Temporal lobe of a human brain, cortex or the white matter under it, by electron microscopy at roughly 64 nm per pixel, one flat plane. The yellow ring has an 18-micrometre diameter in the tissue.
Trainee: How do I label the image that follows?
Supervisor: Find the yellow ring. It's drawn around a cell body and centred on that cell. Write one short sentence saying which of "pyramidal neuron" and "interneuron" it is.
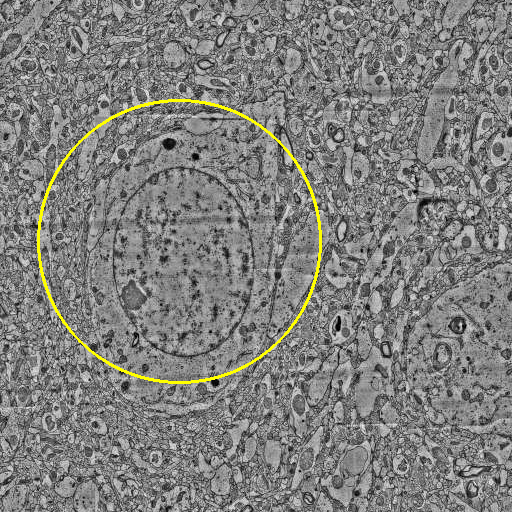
This is the cell body of a pyramidal neuron.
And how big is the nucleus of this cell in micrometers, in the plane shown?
In this plane the nucleus measures roughly 12 by 9 micrometers.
